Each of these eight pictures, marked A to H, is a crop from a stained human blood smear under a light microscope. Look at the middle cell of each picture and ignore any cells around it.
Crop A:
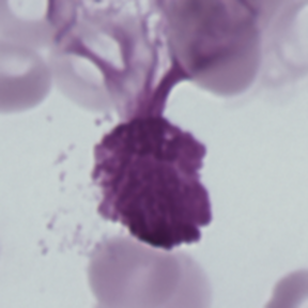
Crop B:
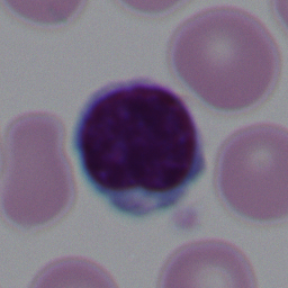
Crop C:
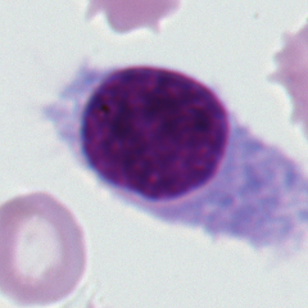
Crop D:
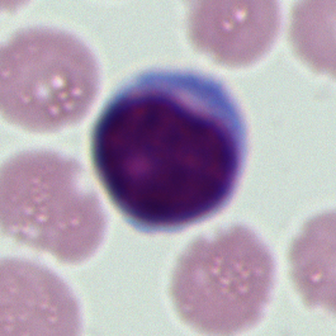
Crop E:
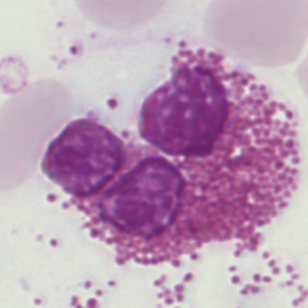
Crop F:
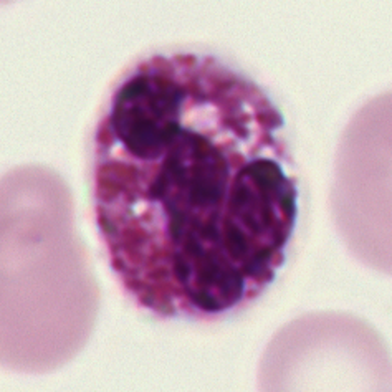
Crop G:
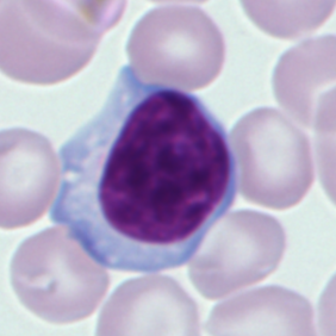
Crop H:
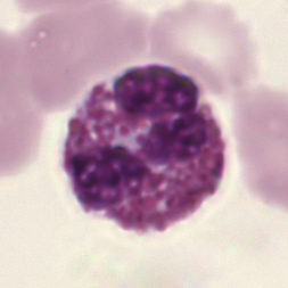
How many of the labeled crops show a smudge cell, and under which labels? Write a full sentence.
The crop with a smudge cell is crop A, and it is the only such crop.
